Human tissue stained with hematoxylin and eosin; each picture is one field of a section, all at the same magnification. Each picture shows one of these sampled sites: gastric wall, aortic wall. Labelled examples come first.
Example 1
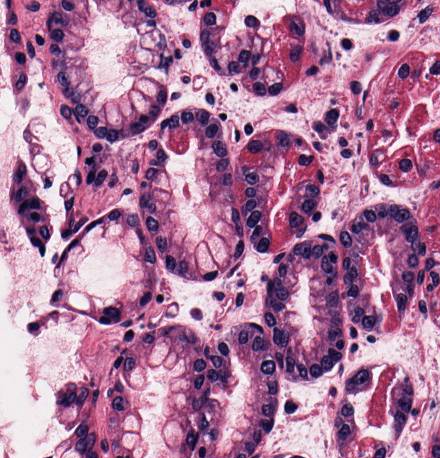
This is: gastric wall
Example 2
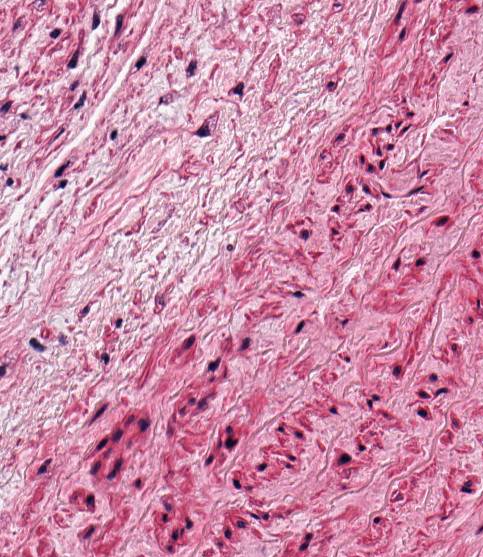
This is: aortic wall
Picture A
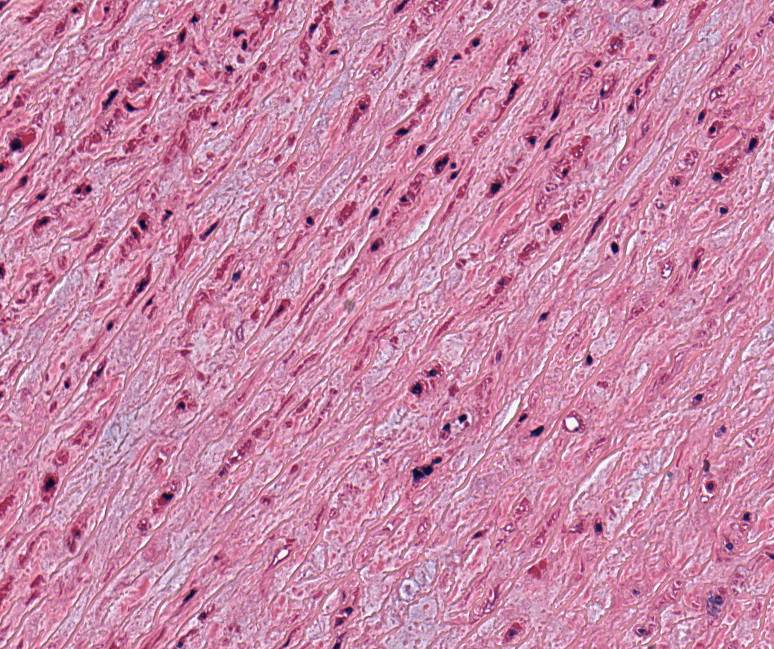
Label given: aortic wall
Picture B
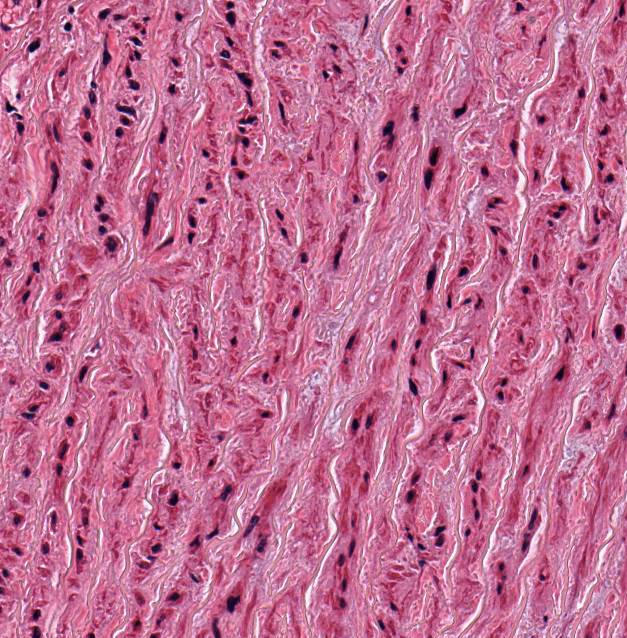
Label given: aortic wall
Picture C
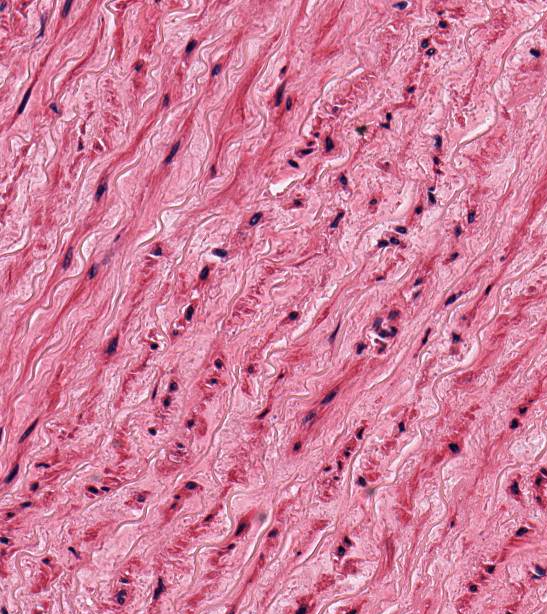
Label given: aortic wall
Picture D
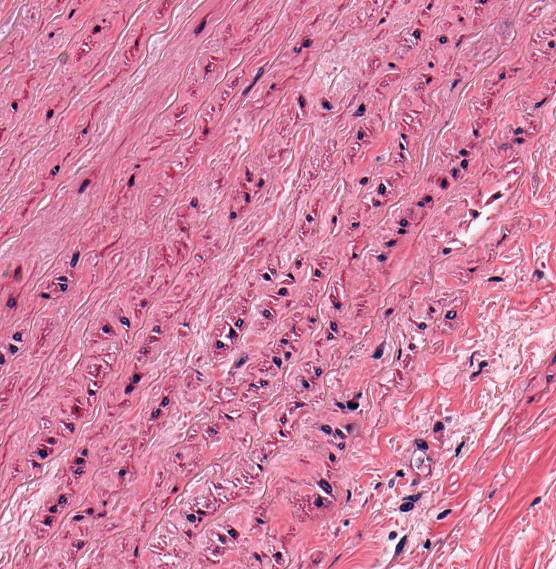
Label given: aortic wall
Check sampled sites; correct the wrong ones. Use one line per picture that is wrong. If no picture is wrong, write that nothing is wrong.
All correct.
